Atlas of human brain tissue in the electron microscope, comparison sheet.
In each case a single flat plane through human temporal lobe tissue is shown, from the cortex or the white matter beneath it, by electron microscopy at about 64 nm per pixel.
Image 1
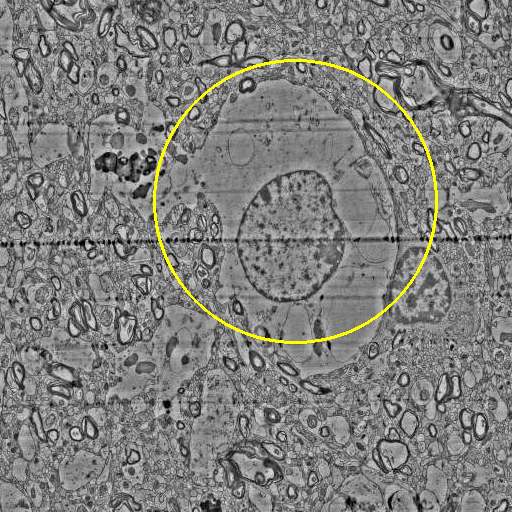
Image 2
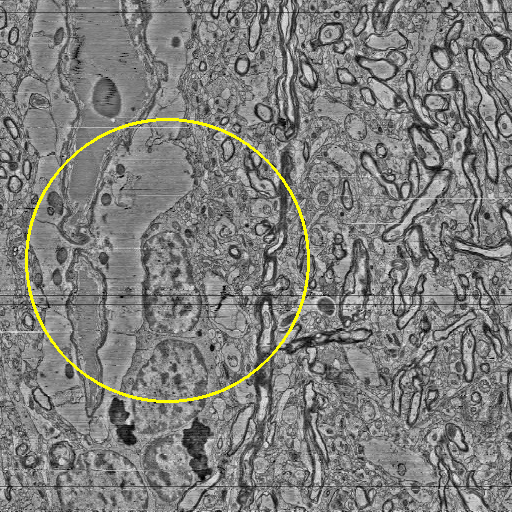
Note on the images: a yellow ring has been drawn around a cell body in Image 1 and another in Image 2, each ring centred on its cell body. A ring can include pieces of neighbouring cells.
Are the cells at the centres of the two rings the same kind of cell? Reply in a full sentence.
No, the two cells are of two kinds.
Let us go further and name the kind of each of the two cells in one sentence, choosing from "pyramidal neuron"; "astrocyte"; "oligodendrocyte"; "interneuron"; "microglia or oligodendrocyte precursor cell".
The ring of the first picture is on an astrocyte, the ring of the second on an oligodendrocyte.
